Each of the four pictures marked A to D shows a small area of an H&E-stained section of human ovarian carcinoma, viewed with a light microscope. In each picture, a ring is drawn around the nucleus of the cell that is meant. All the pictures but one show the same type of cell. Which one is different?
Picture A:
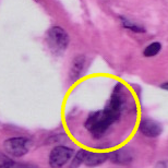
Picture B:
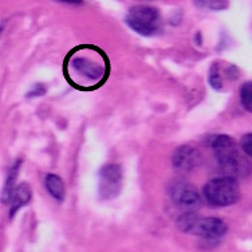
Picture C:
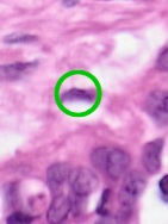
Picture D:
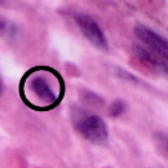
A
